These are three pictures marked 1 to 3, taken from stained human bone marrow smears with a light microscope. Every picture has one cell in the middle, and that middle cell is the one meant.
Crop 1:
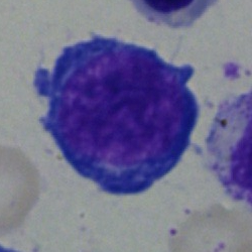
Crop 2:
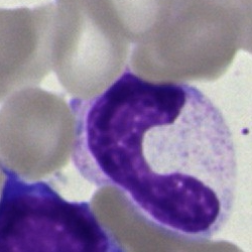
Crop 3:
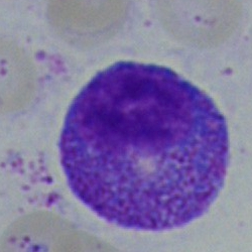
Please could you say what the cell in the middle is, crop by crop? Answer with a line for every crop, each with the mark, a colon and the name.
1: proerythroblast
2: band neutrophil
3: promyelocyte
